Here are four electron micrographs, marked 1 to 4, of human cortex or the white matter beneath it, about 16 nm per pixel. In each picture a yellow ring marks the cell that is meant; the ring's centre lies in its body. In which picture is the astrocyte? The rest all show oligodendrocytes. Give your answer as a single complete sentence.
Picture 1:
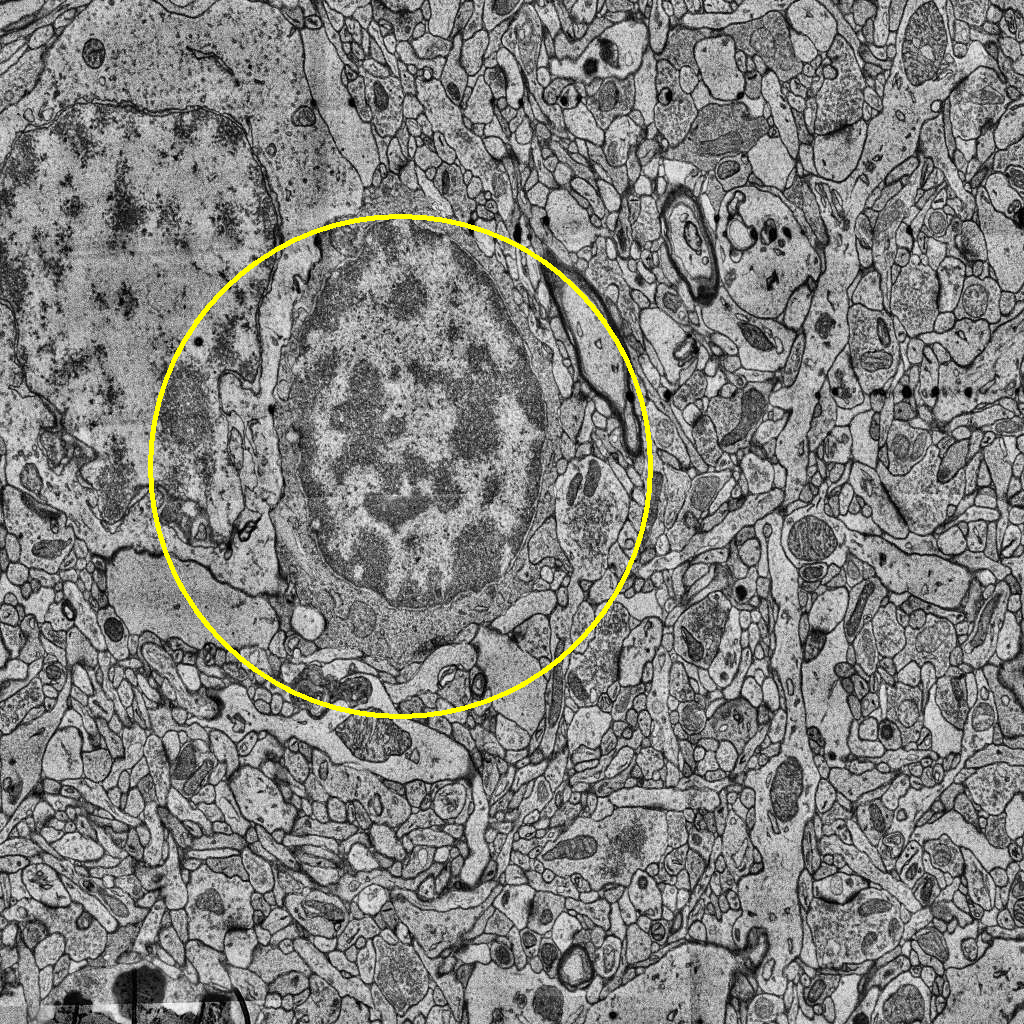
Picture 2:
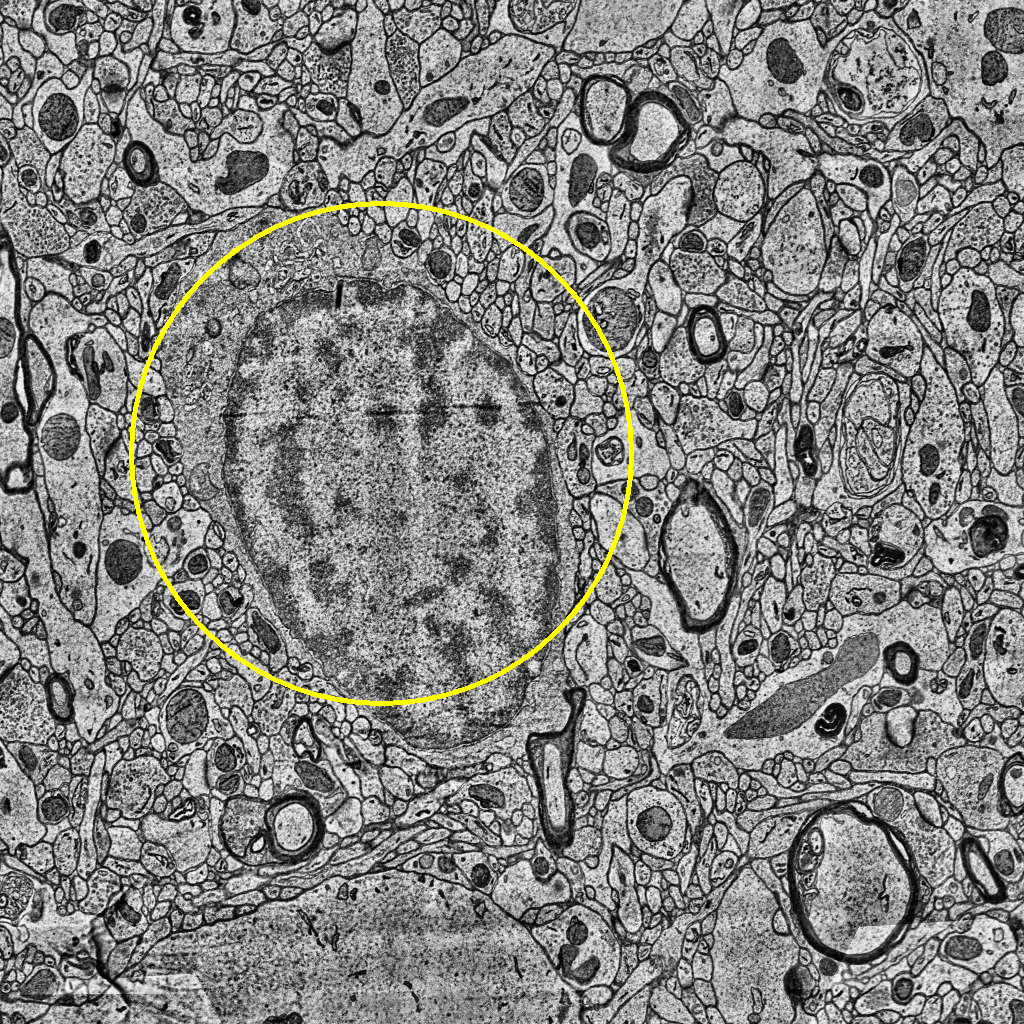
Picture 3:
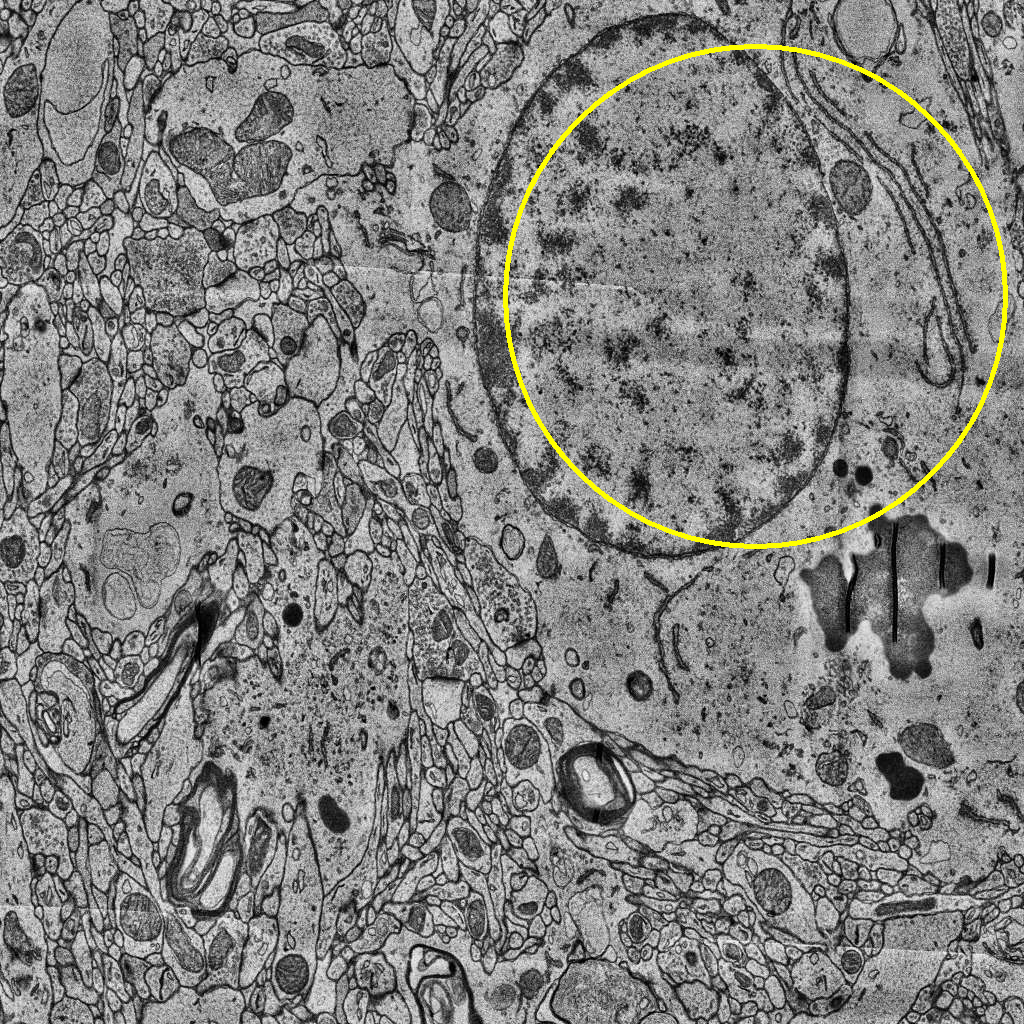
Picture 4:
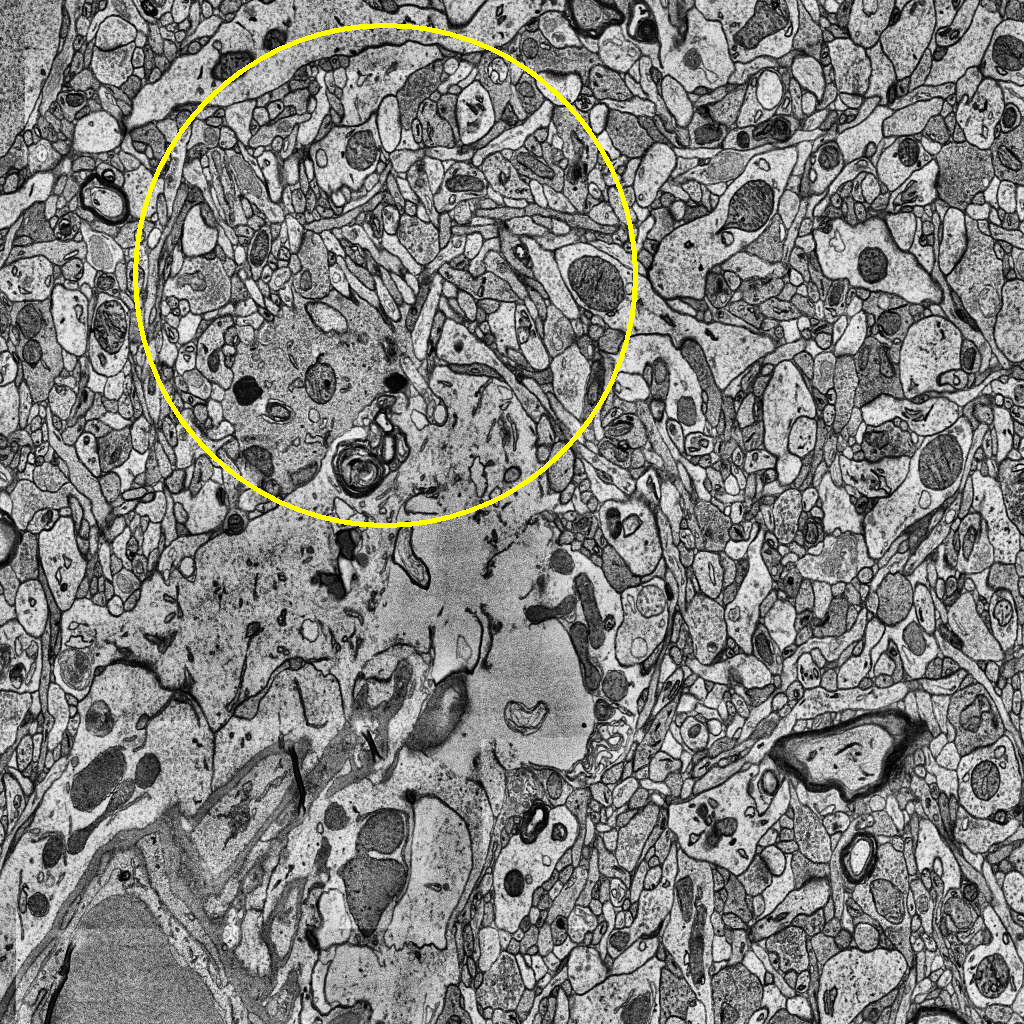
Picture 3 is the one that shows the astrocyte.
